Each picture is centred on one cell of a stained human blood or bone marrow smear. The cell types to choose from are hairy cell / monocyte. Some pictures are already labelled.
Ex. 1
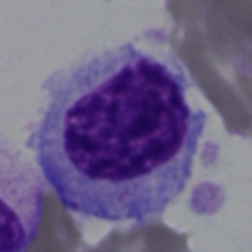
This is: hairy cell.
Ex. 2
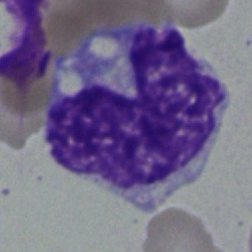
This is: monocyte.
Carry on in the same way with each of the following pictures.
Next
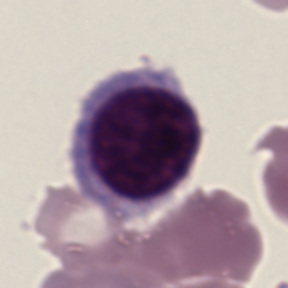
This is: hairy cell.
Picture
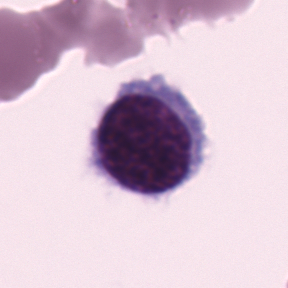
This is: hairy cell.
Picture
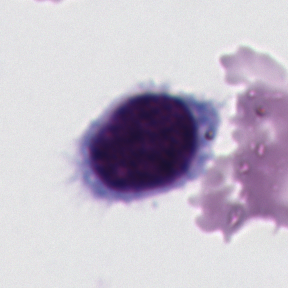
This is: hairy cell.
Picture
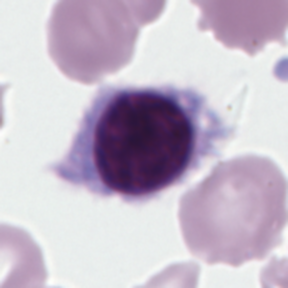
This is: hairy cell.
